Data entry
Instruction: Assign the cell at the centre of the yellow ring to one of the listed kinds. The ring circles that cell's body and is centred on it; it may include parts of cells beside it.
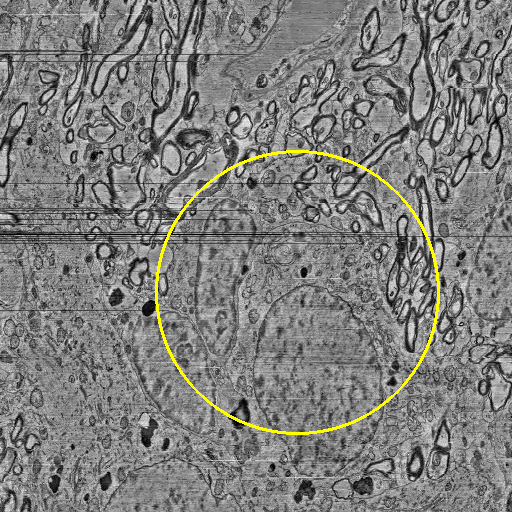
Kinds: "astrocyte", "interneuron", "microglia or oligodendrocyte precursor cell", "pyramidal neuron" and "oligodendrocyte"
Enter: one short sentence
The centre of the ring falls on an interneuron.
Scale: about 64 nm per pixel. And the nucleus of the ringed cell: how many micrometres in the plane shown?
Roughly 13 micrometres long and 8 micrometres wide; in this plane the nucleus is clearly longer than it is wide.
